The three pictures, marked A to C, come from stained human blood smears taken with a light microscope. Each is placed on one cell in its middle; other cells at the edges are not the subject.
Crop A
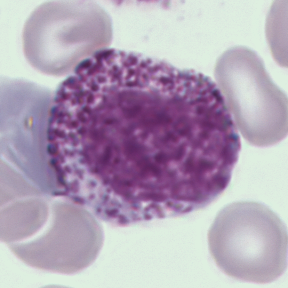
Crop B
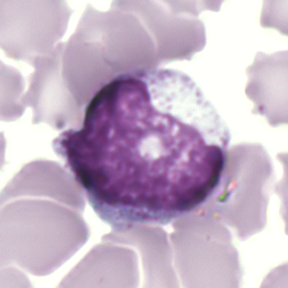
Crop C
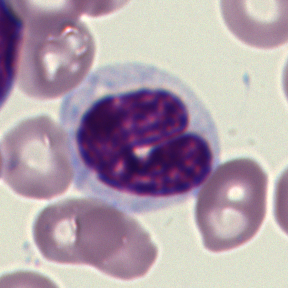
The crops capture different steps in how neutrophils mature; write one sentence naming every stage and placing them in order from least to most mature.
Counting from the least mature up to the most mature, the order is crop A (a myelocyte), crop B (a metamyelocyte) and crop C (a band neutrophil).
